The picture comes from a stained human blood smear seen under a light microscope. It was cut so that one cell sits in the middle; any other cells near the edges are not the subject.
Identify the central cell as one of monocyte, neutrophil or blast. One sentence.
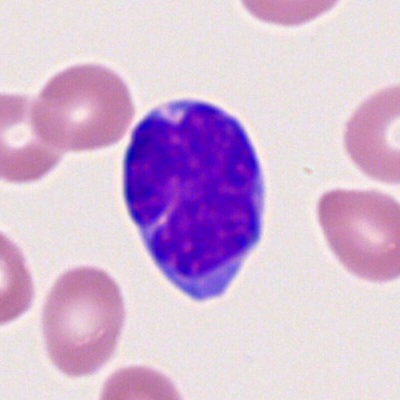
As for the cell in the middle, it is a monocyte.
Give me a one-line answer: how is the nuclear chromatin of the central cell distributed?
The chromatin in this nucleus is coarsely clumped.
